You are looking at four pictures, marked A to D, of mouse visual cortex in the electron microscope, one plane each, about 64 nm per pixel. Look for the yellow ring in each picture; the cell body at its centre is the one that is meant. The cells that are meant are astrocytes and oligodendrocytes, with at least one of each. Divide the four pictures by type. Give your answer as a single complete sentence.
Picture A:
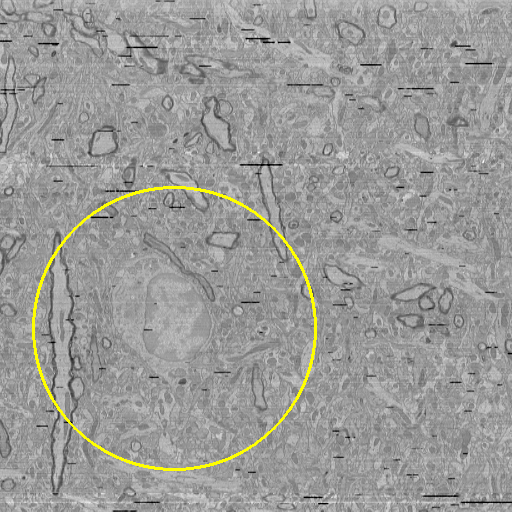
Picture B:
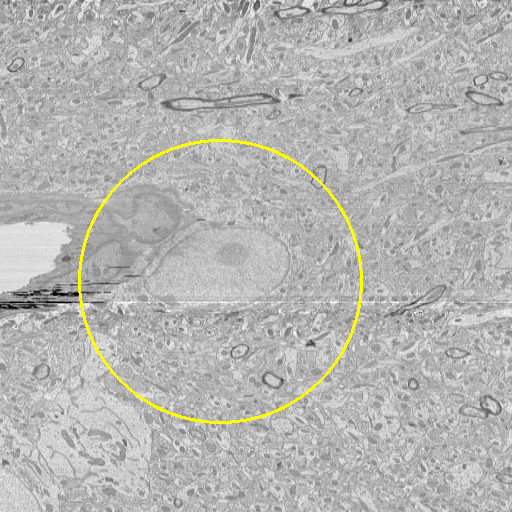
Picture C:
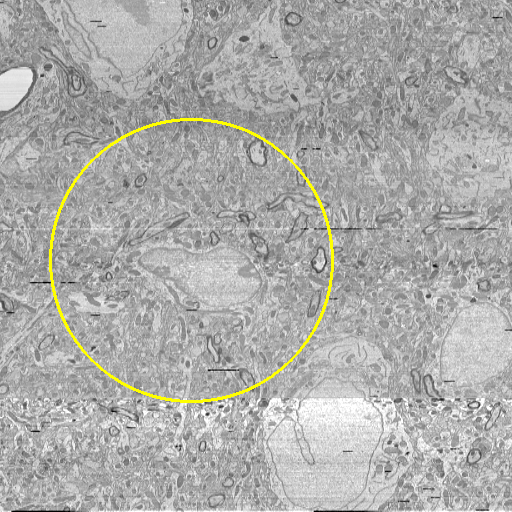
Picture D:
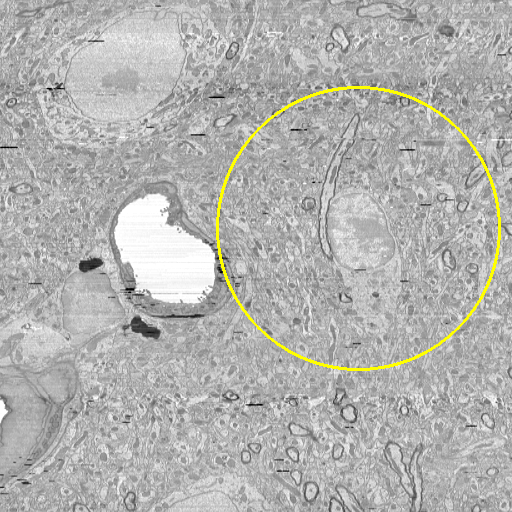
Pictures B and C show astrocytes, and pictures A and D show oligodendrocytes.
